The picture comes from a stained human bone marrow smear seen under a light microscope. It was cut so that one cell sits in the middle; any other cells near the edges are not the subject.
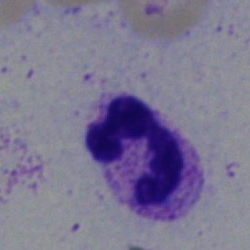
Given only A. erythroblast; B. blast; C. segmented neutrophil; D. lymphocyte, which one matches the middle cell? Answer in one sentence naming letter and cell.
Option C correctly names the cell in the middle as a segmented neutrophil.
